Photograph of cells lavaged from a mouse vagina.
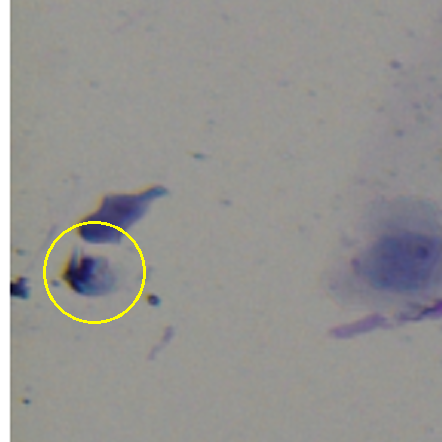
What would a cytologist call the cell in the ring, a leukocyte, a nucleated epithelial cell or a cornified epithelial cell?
A cytologist would call it a cornified epithelial cell.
